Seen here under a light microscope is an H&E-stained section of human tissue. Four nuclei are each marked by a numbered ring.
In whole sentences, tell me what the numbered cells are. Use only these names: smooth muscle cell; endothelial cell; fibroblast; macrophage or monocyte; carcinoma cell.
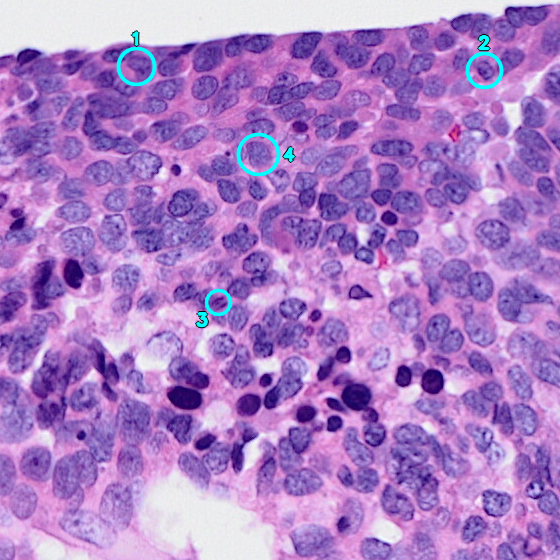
Cells 1, 3 and 4 are carcinoma cells. Cell 2 is a macrophage or monocyte.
